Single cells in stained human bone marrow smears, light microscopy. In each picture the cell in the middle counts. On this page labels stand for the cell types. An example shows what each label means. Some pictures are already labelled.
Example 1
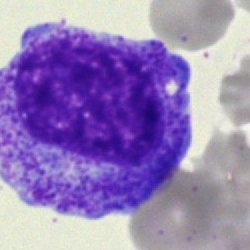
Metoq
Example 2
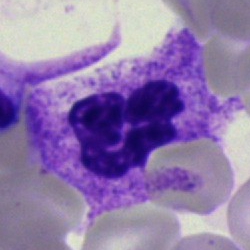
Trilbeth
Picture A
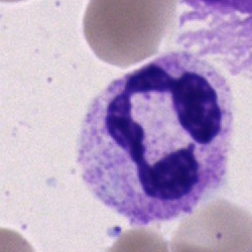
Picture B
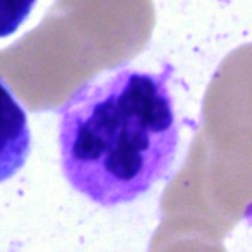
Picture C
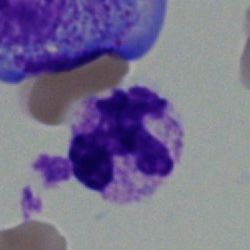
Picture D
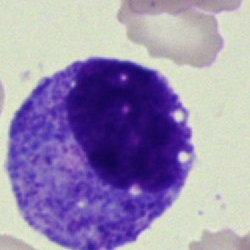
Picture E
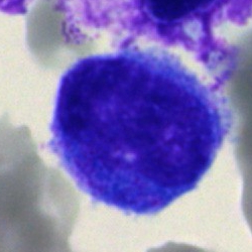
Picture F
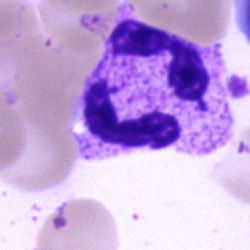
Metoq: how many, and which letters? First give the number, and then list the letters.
Count: 2 (D, E)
